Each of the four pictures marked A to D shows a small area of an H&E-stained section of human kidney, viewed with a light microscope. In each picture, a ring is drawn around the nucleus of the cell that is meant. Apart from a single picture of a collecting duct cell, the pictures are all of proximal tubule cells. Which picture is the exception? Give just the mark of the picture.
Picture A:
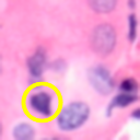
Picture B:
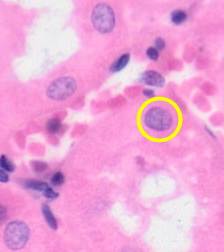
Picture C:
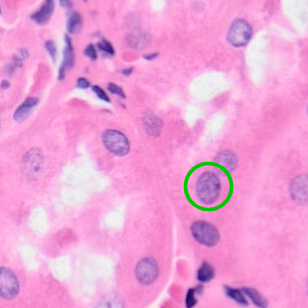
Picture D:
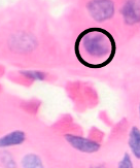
A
